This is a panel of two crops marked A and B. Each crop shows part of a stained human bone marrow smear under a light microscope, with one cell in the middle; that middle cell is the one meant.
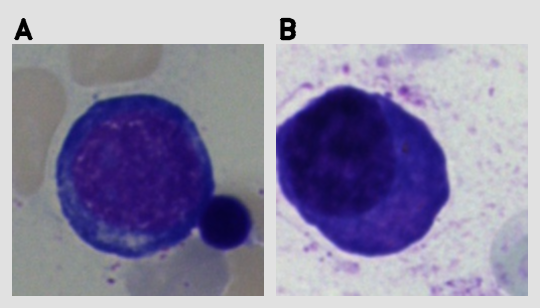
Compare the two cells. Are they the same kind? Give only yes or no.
no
